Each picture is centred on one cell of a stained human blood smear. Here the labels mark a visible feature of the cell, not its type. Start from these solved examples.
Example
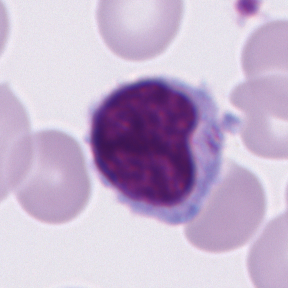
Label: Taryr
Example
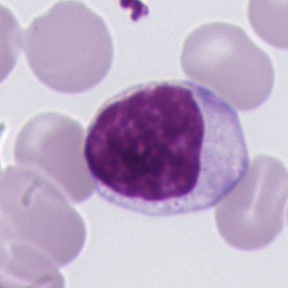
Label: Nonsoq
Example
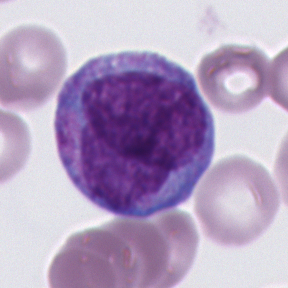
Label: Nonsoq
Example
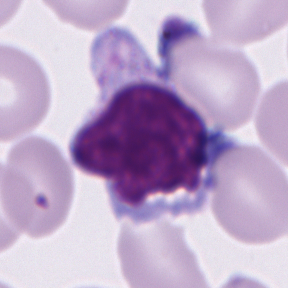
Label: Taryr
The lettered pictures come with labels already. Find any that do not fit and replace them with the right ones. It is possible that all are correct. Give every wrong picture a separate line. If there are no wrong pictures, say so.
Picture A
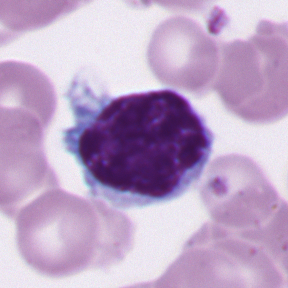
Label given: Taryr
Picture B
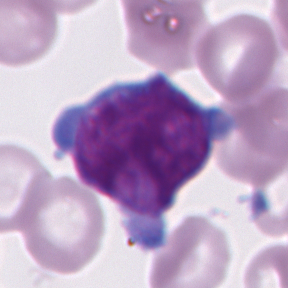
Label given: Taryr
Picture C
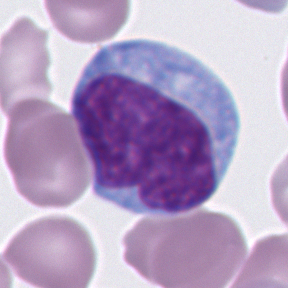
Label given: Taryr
C should be Nonsoq, not Taryr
